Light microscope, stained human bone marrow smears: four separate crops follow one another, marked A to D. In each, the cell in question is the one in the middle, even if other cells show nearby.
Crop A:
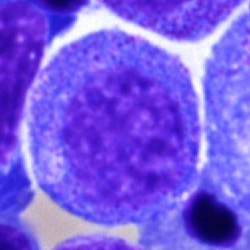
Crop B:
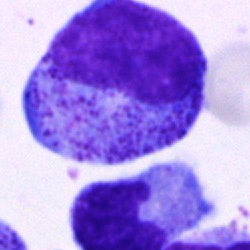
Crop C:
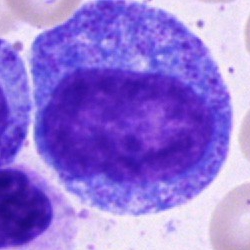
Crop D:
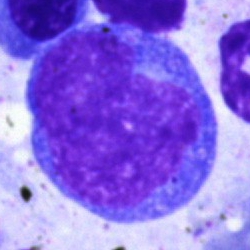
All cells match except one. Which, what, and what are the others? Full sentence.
Crop D differs: it is a proerythroblast, and all the other crops show promyelocytes.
